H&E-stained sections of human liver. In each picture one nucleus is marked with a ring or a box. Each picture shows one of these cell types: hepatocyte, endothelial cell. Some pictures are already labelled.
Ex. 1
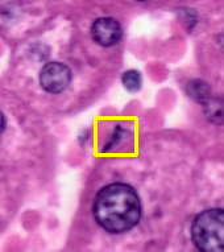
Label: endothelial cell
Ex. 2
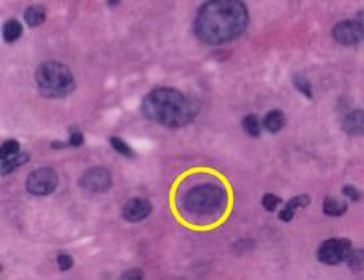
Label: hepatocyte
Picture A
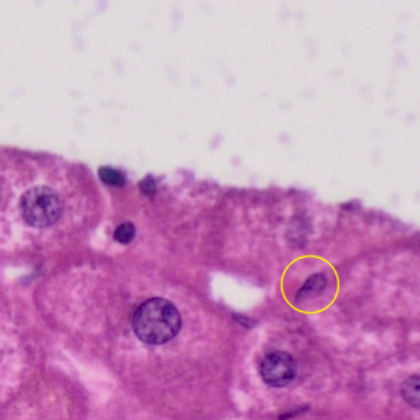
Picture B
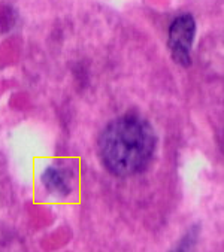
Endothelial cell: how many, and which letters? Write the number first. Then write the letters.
Count: 2 (A, B)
